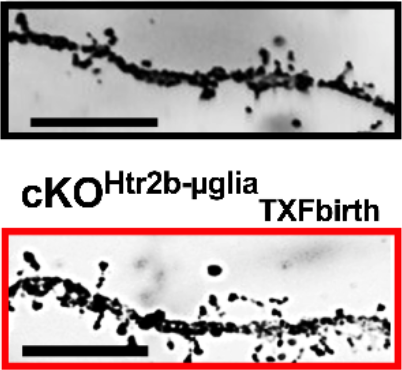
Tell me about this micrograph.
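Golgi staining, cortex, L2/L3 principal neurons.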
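Some protrusions are short knobs, while others are longer, thin stalks, some ending in a rounded head. Scattered dark dots and blurred out-of-focus material lie beside the dendrites.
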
